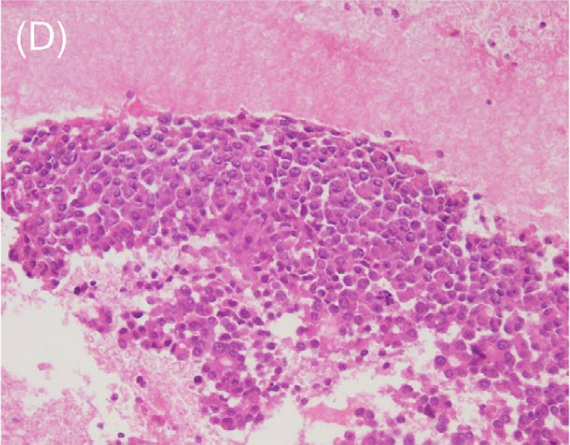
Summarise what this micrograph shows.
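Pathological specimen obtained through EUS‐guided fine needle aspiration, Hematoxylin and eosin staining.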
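The cells are packed tightly with scant stroma between them. Toward the lower edge the sheet loosens, with cells lying apart in small clusters and singly, showing weak cohesion. A few scattered single cells lie within the pink background above the sheet. No glandular or other organised architecture is seen.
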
